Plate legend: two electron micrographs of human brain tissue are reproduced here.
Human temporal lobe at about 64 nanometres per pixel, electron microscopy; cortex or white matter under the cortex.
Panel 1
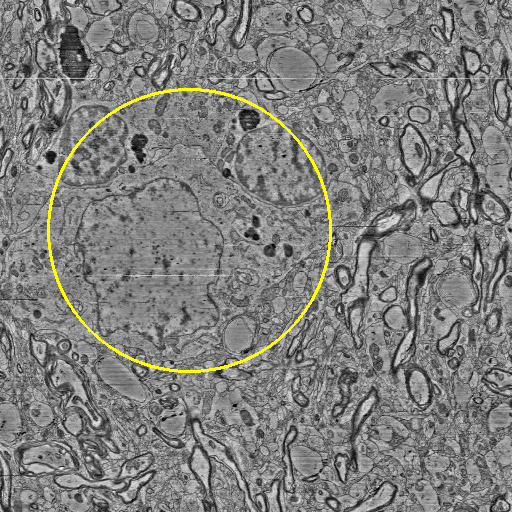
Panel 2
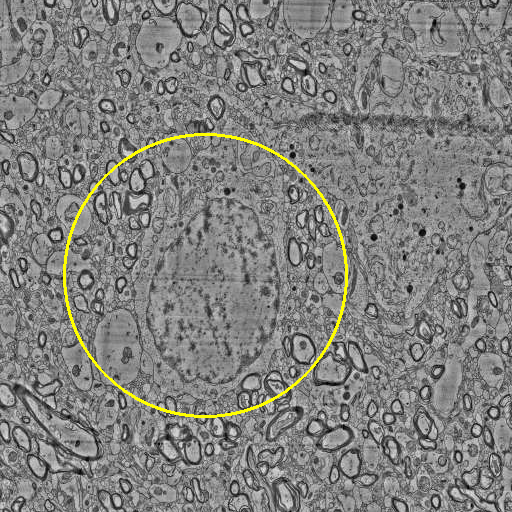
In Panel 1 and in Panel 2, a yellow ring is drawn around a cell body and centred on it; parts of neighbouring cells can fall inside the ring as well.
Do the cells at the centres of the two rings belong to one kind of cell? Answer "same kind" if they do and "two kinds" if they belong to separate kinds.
same kind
